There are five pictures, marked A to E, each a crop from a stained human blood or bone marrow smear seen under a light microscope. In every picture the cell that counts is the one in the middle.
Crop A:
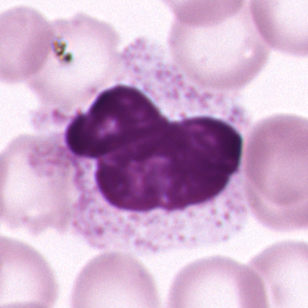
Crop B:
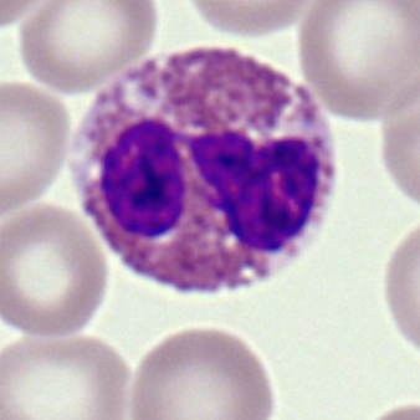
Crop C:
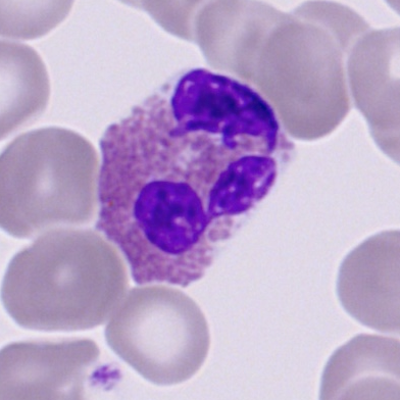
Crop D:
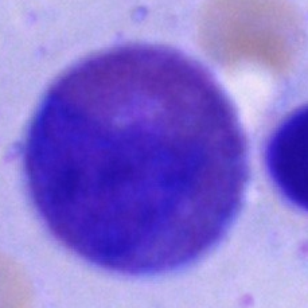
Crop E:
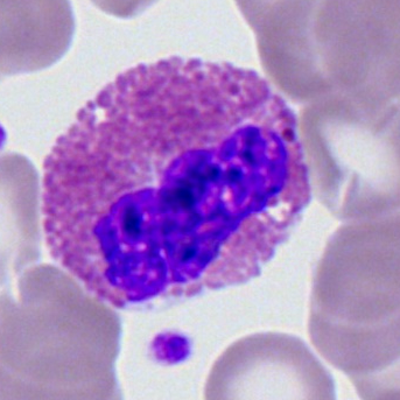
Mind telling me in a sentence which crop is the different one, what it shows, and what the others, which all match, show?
All of the other crops show eosinophils; crop A, by contrast, is a segmented neutrophil.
